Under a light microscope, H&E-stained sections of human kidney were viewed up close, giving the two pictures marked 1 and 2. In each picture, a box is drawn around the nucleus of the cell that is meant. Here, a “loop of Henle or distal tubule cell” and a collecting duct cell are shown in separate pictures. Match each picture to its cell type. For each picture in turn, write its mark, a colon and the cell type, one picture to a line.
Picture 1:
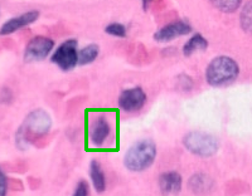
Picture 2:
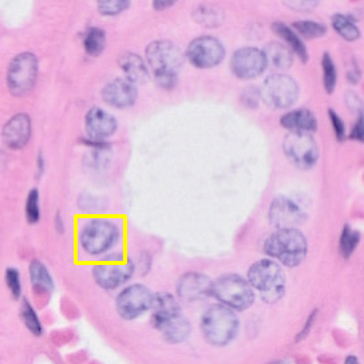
1: loop of Henle or distal tubule cell
2: collecting duct cell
